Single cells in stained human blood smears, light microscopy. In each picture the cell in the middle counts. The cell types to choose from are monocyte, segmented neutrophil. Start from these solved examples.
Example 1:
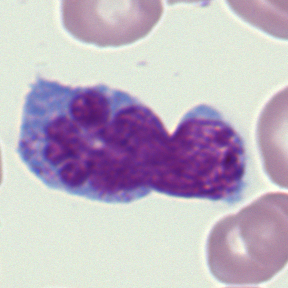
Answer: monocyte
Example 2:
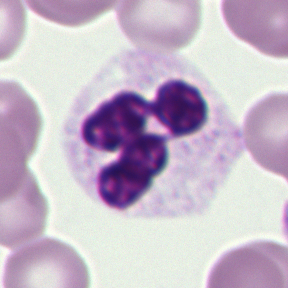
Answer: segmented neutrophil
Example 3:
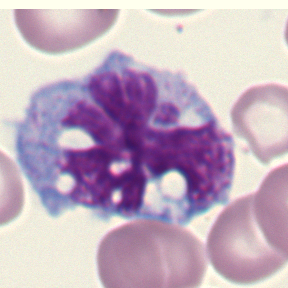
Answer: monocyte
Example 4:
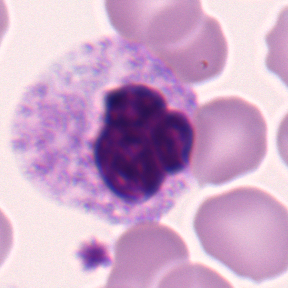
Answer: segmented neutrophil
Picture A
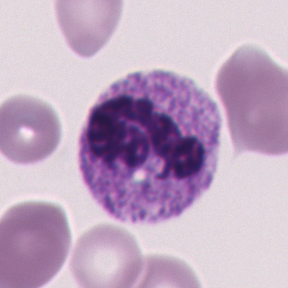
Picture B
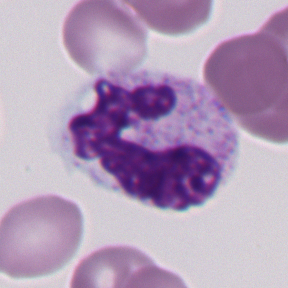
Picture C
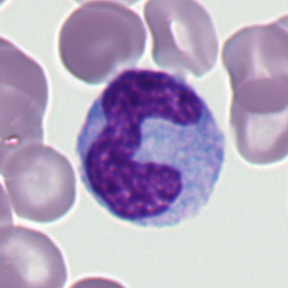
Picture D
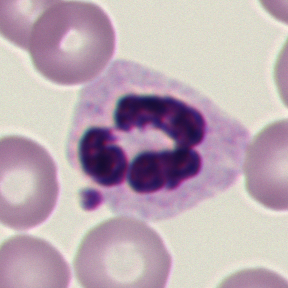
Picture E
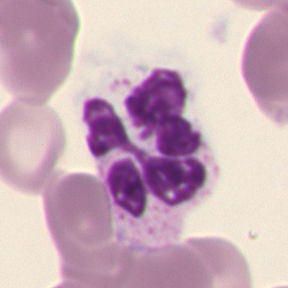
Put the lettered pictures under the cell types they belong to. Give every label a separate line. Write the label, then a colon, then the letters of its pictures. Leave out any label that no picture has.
monocyte: C
segmented neutrophil: A, B, D, E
